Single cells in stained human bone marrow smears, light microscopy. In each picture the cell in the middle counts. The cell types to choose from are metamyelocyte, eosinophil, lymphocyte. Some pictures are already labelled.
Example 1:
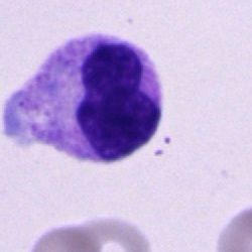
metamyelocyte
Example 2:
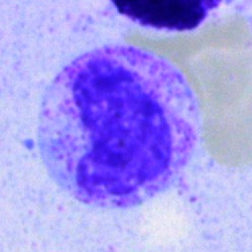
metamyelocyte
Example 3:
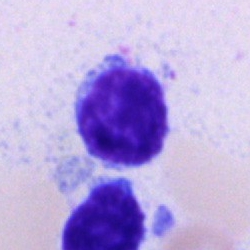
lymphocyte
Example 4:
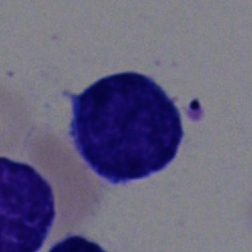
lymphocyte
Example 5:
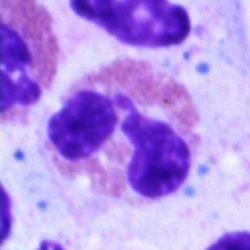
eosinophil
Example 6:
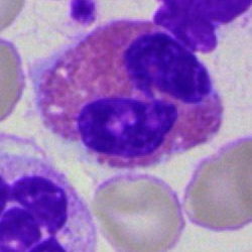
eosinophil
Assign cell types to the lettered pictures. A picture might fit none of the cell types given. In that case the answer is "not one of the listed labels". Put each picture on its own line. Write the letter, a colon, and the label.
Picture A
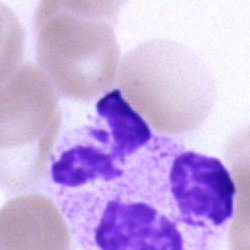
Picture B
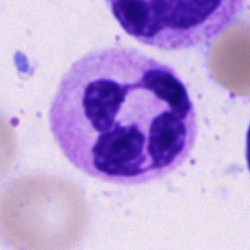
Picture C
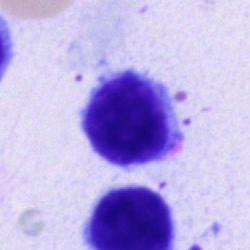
A: not one of the listed labels
B: not one of the listed labels
C: lymphocyte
